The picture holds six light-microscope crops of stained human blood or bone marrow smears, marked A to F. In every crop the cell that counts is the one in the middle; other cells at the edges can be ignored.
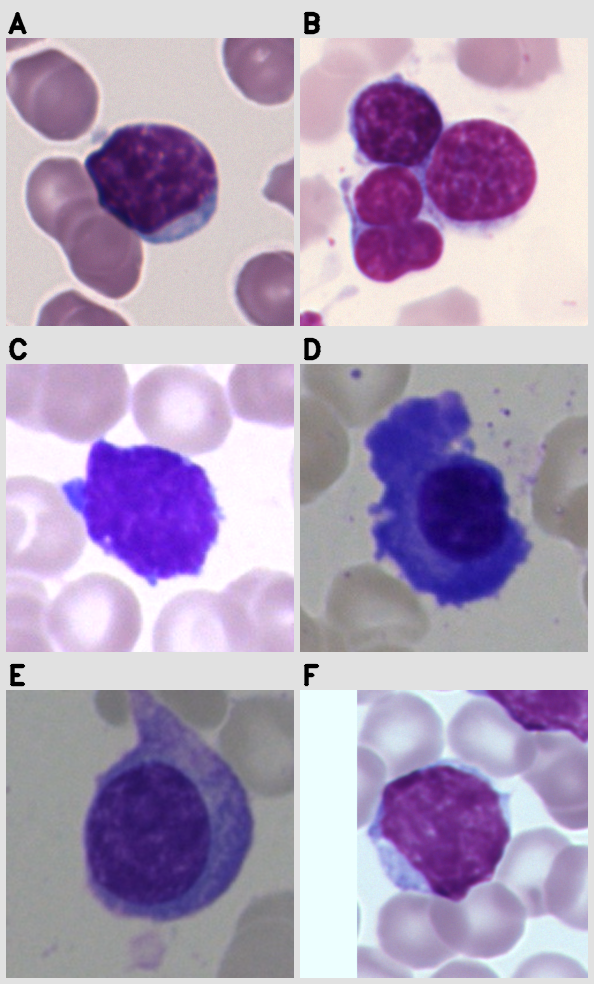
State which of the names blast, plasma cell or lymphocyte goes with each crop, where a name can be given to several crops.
A: lymphocyte
B: blast
C: lymphocyte
D: plasma cell
E: plasma cell
F: lymphocyte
